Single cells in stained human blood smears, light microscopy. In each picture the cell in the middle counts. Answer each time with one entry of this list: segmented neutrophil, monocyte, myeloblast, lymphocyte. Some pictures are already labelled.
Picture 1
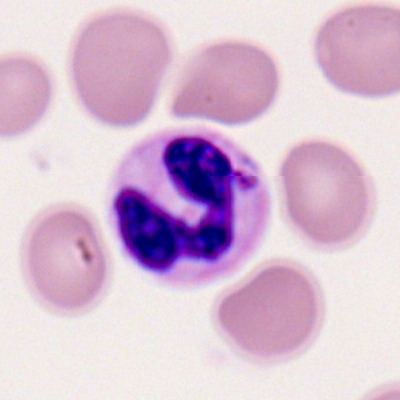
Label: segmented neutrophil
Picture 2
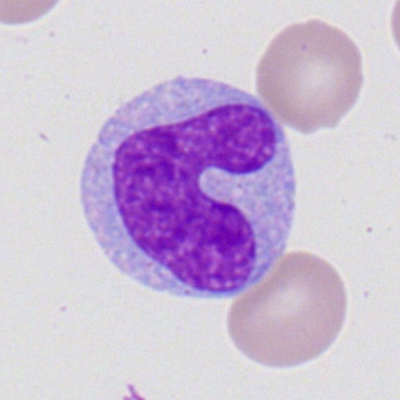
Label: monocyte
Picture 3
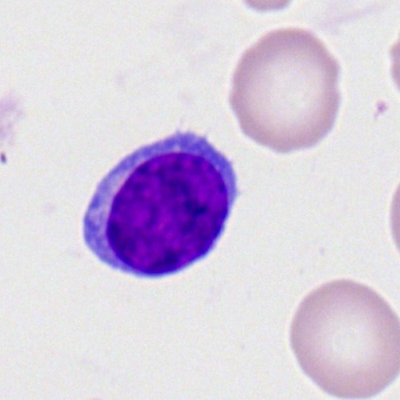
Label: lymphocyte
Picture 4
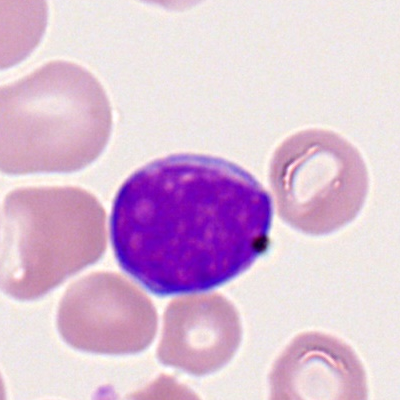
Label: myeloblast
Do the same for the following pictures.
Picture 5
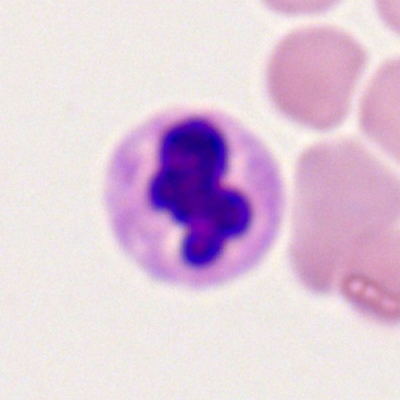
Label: segmented neutrophil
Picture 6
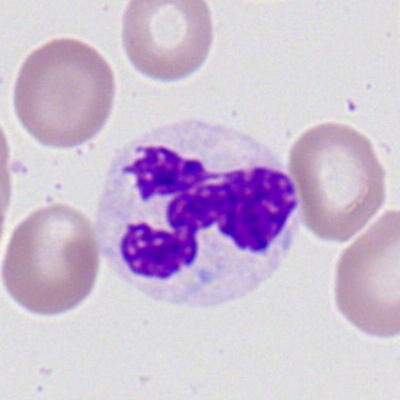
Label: segmented neutrophil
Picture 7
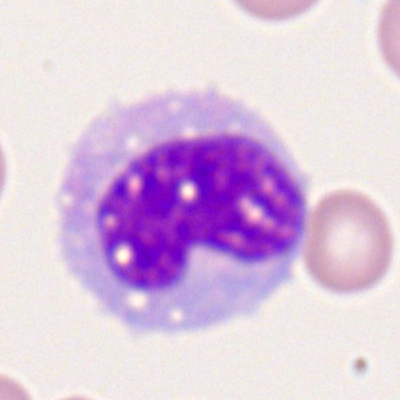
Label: monocyte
